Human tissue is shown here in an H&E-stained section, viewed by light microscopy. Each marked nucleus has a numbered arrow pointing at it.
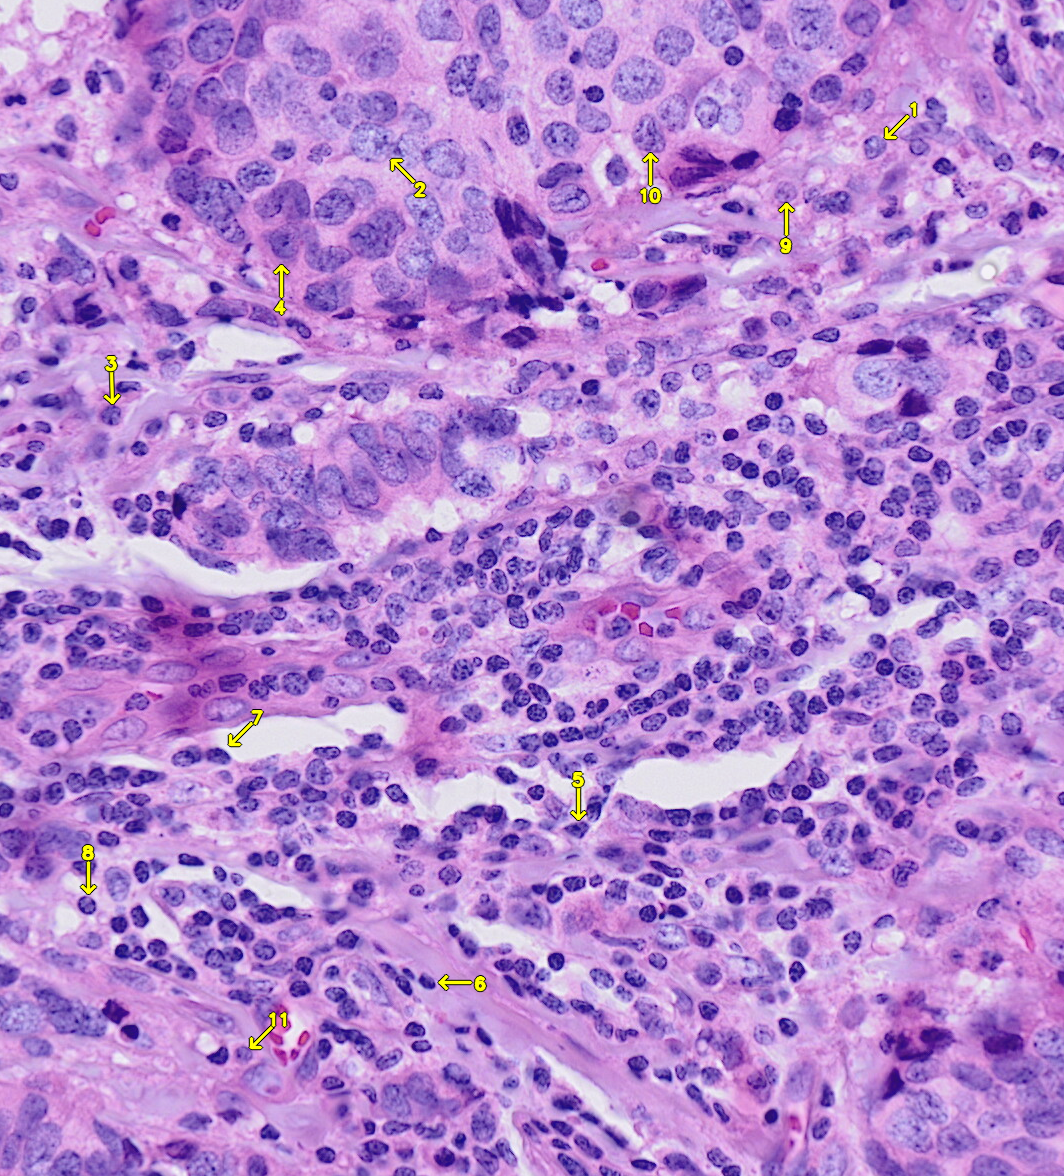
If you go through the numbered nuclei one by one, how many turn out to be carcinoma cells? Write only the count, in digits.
3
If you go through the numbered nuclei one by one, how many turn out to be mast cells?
2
